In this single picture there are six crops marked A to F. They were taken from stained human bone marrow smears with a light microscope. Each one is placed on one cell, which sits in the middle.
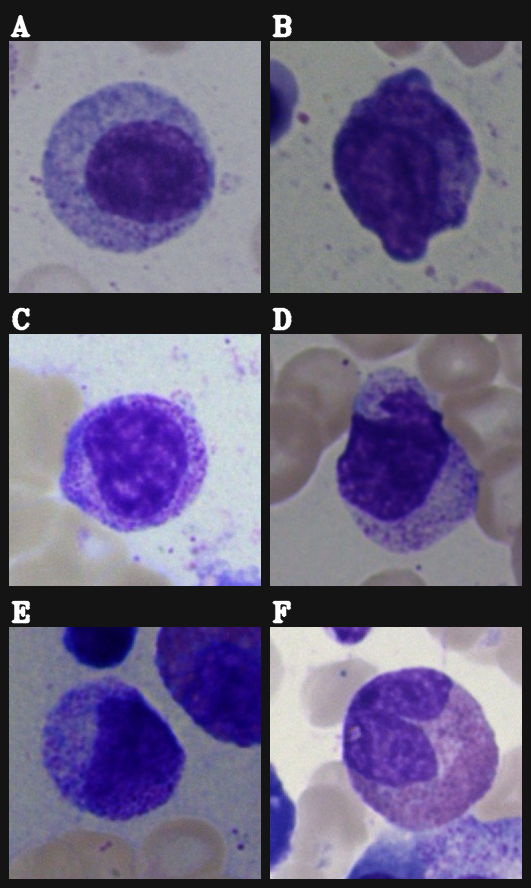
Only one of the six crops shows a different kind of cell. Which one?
F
